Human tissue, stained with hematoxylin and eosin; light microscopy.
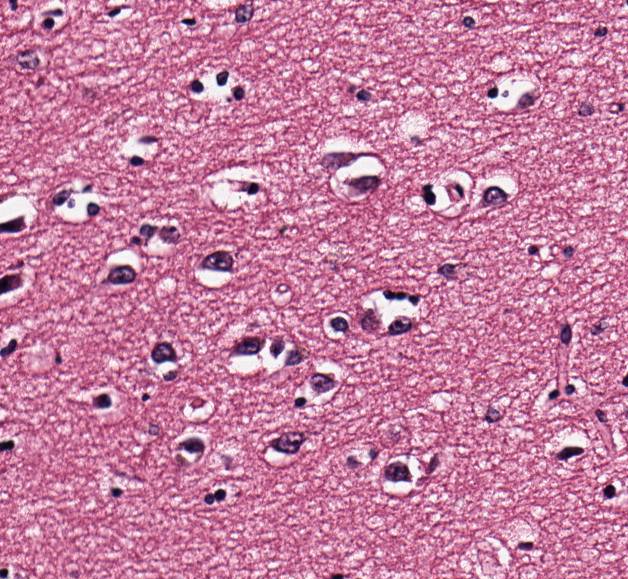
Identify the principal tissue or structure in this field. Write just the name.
cerebral cortex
